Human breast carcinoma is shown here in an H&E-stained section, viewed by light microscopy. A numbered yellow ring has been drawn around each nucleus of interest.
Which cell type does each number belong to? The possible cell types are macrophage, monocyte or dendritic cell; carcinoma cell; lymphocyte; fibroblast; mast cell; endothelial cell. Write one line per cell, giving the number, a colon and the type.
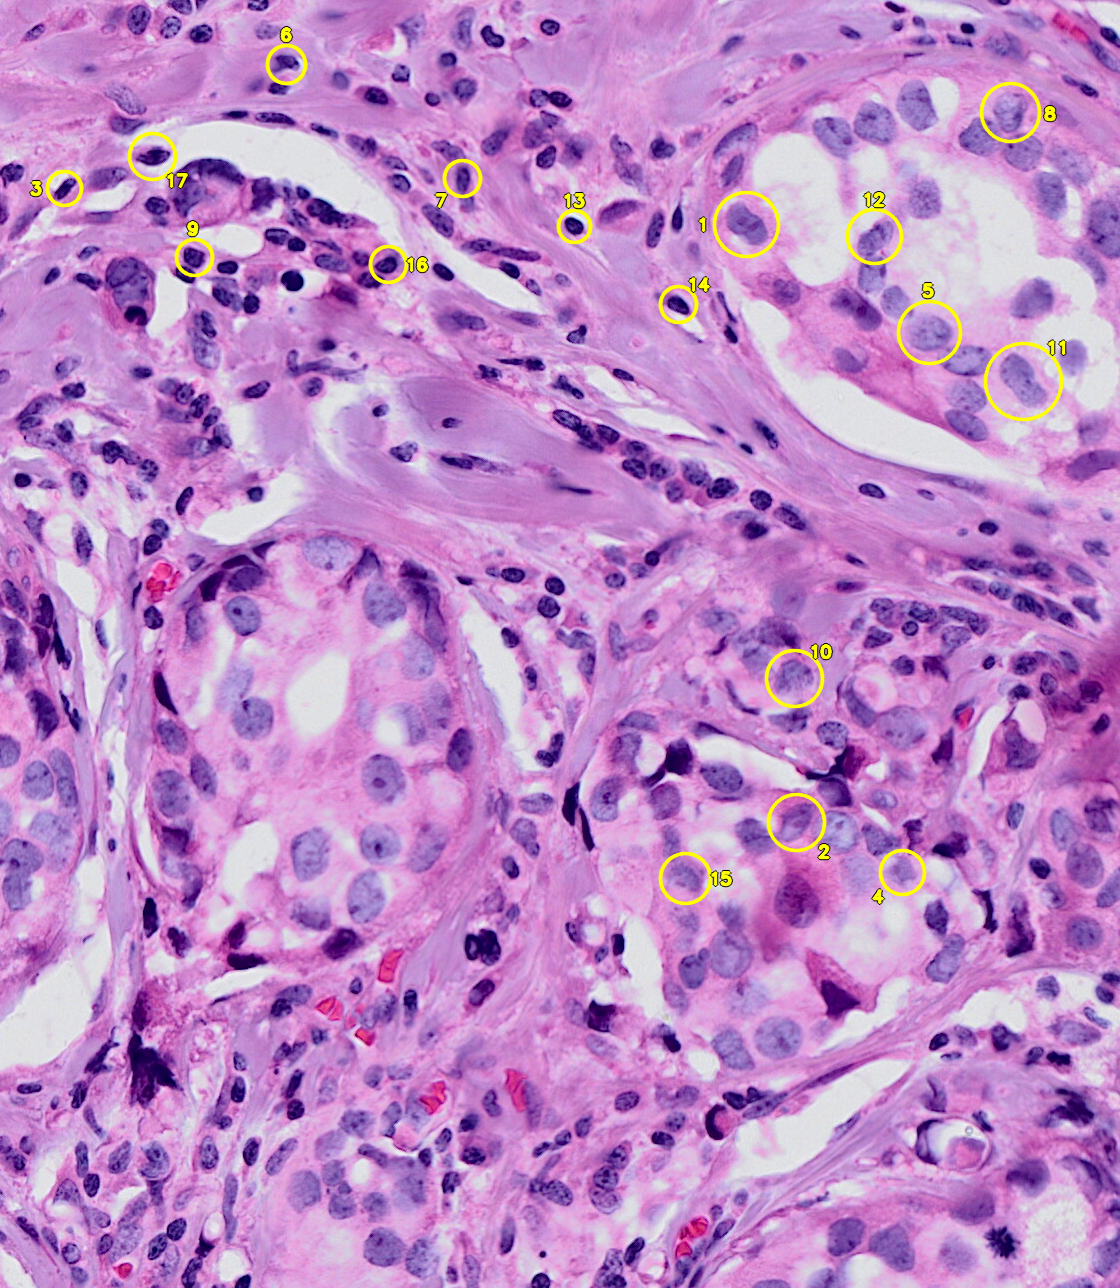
1: carcinoma cell
2: carcinoma cell
3: lymphocyte
4: carcinoma cell
5: carcinoma cell
6: lymphocyte
7: lymphocyte
8: carcinoma cell
9: lymphocyte
10: carcinoma cell
11: carcinoma cell
12: carcinoma cell
13: lymphocyte
14: lymphocyte
15: carcinoma cell
16: lymphocyte
17: lymphocyte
